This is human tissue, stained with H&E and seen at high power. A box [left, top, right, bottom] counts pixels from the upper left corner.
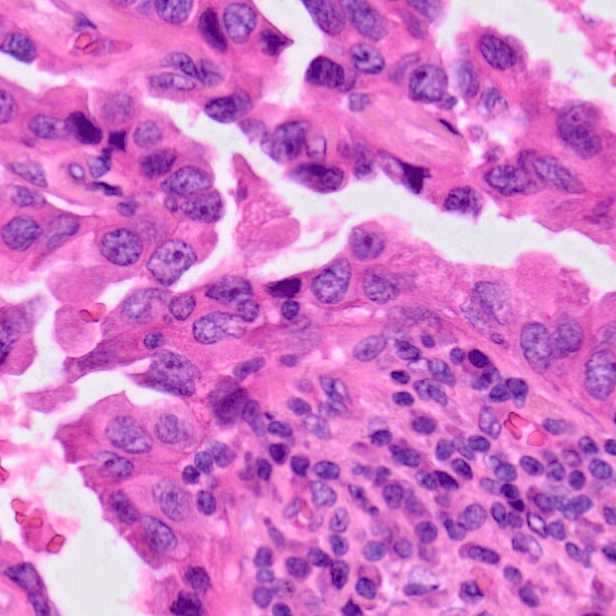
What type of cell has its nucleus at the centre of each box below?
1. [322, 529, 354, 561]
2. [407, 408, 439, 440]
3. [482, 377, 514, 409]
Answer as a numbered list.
1. lymphocyte
2. plasma cell
3. lymphocyte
